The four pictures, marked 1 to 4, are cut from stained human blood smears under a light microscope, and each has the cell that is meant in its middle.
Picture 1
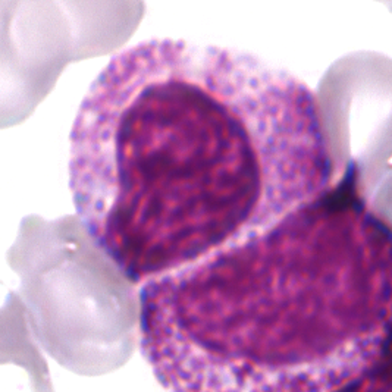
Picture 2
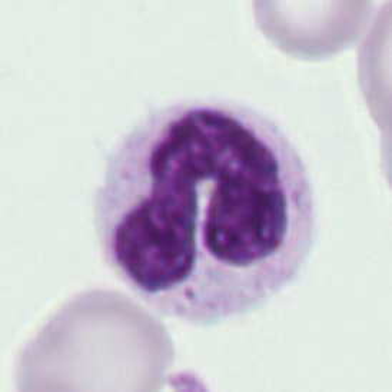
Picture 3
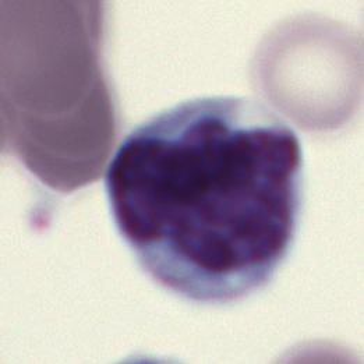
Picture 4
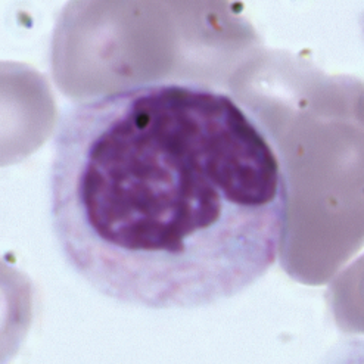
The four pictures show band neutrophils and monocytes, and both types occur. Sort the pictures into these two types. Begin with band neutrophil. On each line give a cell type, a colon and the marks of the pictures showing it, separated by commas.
band neutrophil: 1, 2, 4
monocyte: 3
